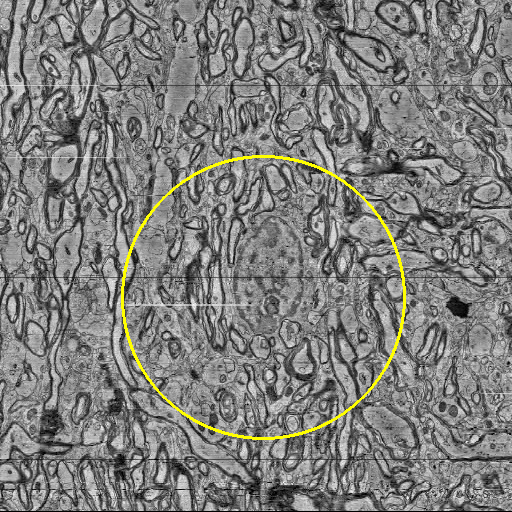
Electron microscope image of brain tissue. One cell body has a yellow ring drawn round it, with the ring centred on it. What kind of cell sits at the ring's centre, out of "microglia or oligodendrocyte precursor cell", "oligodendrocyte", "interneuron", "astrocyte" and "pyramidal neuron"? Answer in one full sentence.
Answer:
It is an oligodendrocyte whose cell body sits at the centre of the yellow ring.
